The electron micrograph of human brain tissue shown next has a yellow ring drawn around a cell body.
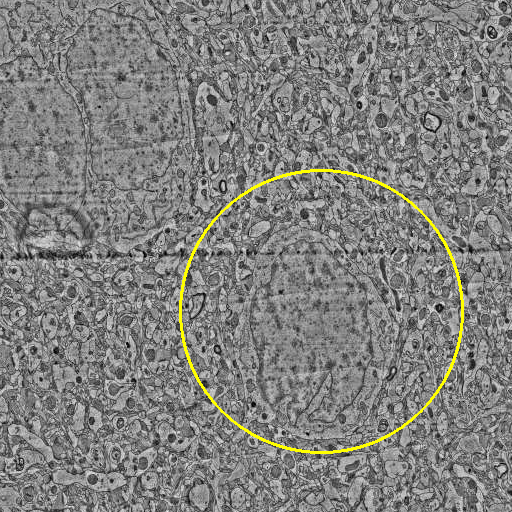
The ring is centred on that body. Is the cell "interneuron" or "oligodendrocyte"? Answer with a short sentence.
The cell in question is an interneuron.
